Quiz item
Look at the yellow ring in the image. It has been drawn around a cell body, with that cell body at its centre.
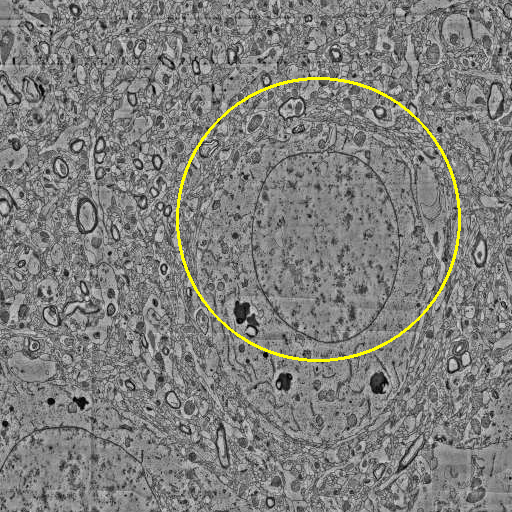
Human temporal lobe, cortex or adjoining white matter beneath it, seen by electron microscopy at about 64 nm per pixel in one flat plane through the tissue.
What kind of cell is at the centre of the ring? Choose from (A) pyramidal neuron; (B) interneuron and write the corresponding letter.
A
